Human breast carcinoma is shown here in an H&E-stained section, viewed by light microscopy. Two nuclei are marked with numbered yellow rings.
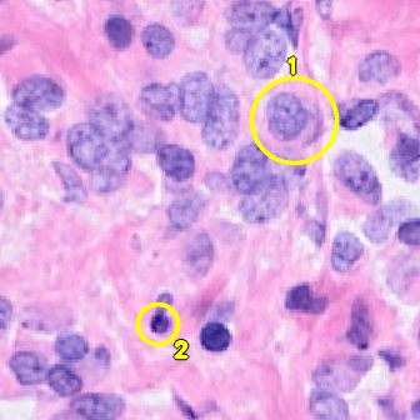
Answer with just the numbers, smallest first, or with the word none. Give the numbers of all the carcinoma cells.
1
